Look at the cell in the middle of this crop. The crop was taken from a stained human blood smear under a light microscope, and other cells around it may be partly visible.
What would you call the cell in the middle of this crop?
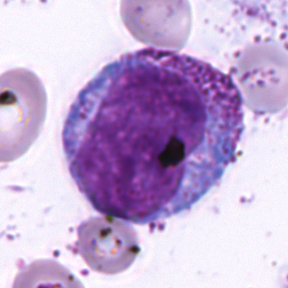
promyelocyte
